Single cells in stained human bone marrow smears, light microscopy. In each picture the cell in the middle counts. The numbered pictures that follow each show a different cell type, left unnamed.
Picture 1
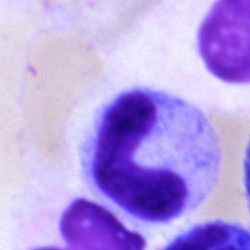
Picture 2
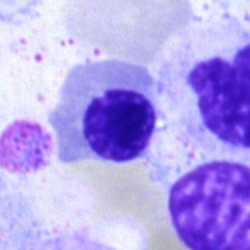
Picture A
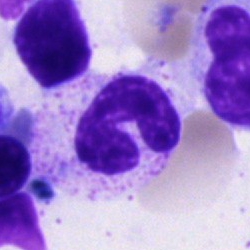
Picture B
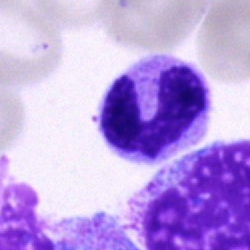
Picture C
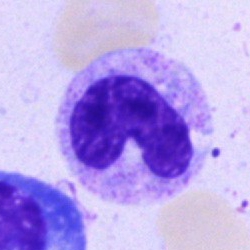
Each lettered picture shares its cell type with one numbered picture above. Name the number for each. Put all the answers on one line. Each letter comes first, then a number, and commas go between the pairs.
A 1, B 1, C 1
